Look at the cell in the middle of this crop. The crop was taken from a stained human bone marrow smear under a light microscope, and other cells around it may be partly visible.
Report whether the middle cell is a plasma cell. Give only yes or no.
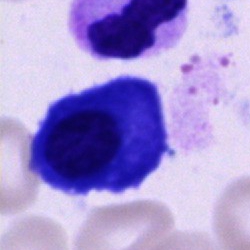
yes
